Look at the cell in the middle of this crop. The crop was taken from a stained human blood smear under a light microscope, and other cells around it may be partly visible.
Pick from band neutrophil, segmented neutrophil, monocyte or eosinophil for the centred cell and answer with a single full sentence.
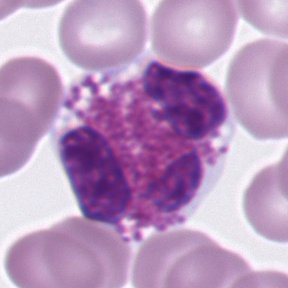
This crop is built around an eosinophil at its centre.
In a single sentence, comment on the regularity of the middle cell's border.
The cell is outlined unevenly, the border being ragged or extended into projections.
